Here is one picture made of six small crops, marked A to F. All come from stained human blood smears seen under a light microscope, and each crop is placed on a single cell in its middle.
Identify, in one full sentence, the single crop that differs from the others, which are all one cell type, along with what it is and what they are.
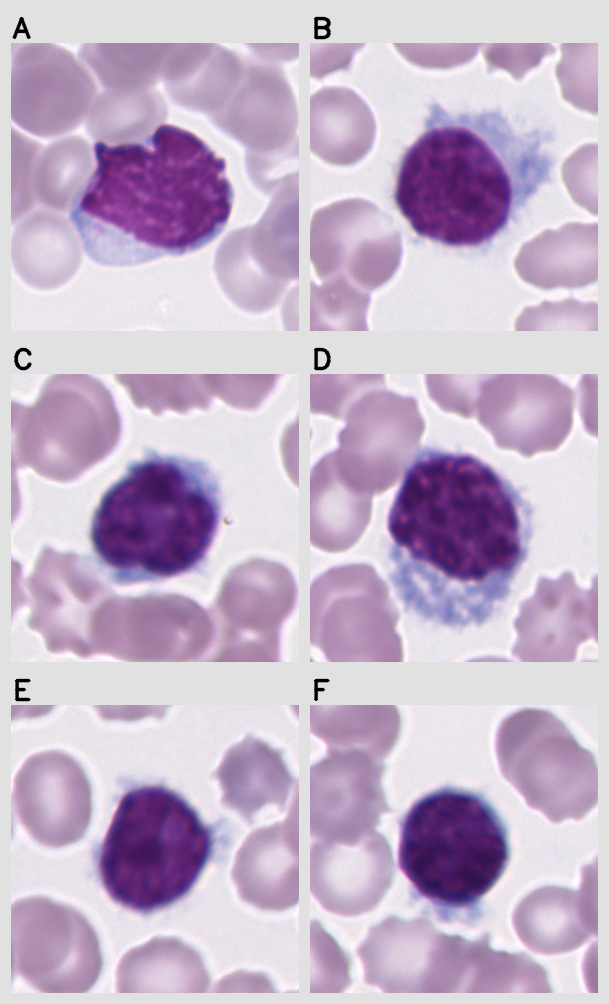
What sets crop A apart is that it is a large granular lymphocyte; the others are all hairy cells.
